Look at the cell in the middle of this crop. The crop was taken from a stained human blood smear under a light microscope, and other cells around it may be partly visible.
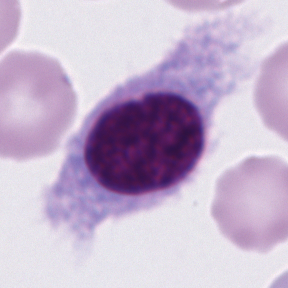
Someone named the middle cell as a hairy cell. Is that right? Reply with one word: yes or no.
yes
